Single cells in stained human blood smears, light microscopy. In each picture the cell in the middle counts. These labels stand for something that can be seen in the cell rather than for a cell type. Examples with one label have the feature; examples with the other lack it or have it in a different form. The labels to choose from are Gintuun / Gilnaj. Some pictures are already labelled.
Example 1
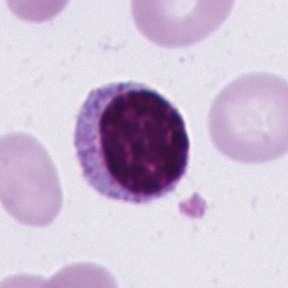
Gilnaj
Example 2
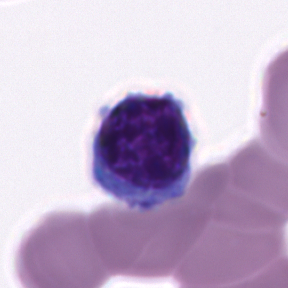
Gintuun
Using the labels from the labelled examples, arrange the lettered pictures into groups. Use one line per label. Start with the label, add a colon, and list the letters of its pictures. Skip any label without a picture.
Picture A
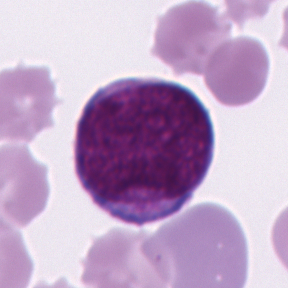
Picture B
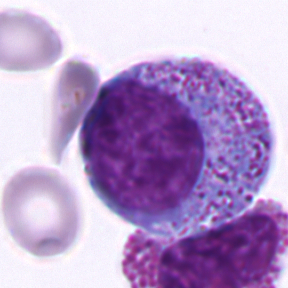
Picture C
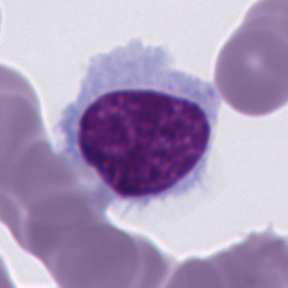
Gintuun: C
Gilnaj: A, B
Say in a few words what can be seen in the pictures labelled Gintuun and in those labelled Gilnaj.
In Gintuun: ragged outline or projections. In Gilnaj: smooth outline.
